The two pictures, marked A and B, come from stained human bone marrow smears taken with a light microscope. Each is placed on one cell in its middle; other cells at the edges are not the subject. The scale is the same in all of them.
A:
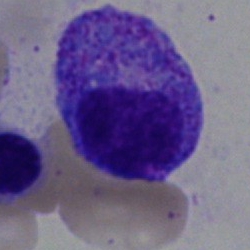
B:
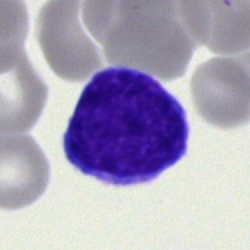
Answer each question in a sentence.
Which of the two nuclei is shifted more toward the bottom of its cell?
It is the nucleus in crop A that lies further toward the bottom of its cell.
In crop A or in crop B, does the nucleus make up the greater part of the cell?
It is the cell in crop B that is filled more by its nucleus.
